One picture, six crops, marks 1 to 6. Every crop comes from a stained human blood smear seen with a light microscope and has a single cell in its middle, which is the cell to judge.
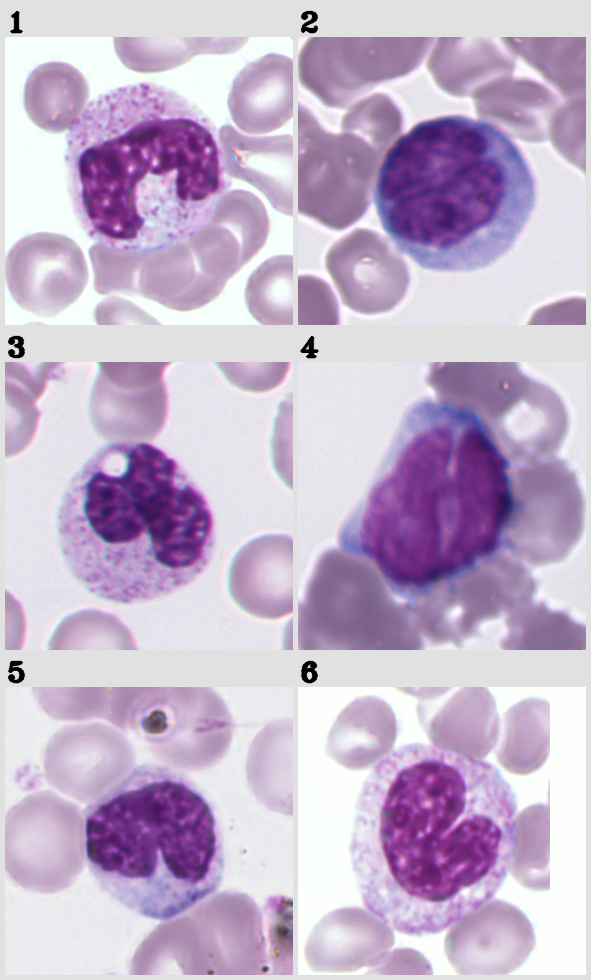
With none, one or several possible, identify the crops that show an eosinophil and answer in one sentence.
The center cell of every crop is something other than an eosinophil.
